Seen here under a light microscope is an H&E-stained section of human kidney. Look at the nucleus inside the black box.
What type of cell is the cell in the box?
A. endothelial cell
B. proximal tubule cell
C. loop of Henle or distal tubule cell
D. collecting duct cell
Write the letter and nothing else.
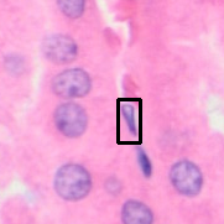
A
